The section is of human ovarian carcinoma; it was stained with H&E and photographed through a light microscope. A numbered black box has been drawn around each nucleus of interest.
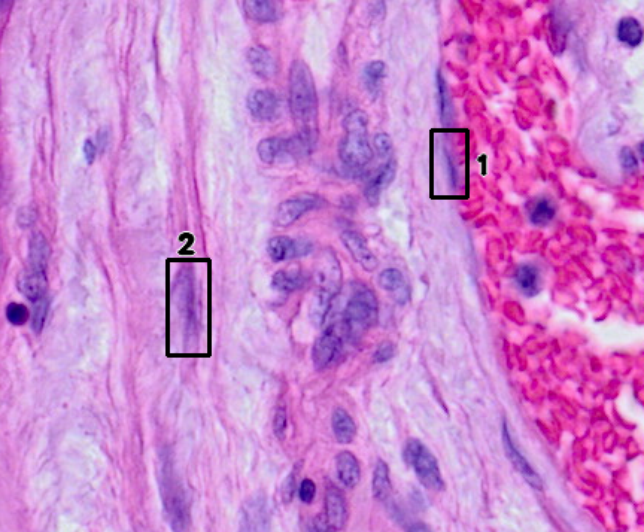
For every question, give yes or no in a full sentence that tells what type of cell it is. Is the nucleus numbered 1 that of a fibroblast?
No, cell number 1 is identified as an endothelial cell, not as a fibroblast.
